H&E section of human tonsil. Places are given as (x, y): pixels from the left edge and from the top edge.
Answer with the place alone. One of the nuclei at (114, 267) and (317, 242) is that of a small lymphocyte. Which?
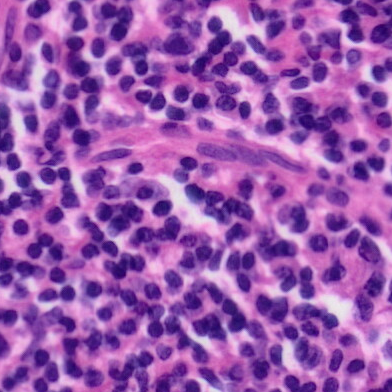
(114, 267)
